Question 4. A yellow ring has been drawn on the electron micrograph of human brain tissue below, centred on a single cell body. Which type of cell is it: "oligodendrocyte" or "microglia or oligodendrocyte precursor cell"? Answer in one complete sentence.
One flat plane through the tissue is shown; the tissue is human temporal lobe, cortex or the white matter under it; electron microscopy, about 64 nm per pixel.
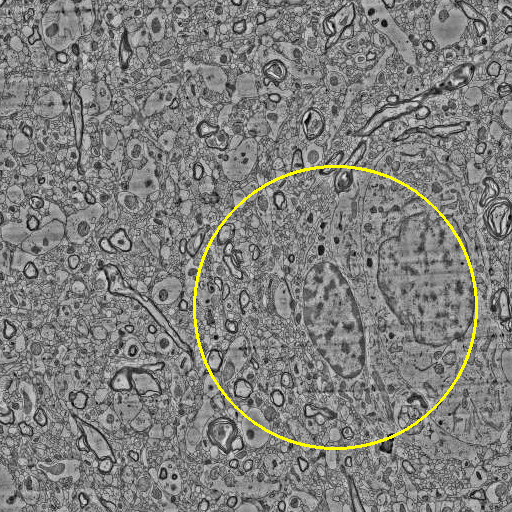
This cell body belongs to a microglial cell or oligodendrocyte precursor cell.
